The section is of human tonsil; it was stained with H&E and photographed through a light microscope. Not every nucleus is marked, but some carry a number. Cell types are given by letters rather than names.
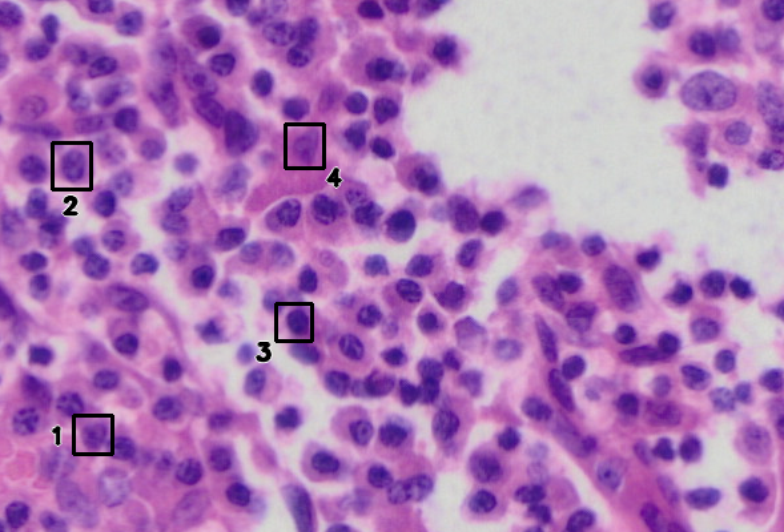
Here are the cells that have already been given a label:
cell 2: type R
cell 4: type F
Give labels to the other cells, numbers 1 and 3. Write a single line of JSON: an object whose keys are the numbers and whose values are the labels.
{"1": "type R", "3": "type R"}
